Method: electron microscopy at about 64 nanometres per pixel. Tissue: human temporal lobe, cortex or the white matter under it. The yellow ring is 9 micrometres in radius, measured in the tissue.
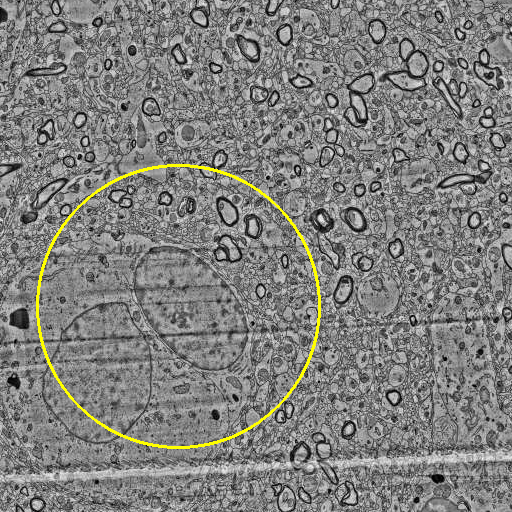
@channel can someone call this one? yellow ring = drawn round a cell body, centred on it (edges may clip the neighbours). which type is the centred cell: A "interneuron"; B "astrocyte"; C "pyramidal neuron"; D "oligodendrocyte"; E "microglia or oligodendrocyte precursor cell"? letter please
E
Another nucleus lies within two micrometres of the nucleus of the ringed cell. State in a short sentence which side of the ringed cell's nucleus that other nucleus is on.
The other one is to the left of it.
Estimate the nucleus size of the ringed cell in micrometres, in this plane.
Roughly 9 by 5 micrometres; in this plane, clearly longer than it is wide.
